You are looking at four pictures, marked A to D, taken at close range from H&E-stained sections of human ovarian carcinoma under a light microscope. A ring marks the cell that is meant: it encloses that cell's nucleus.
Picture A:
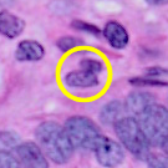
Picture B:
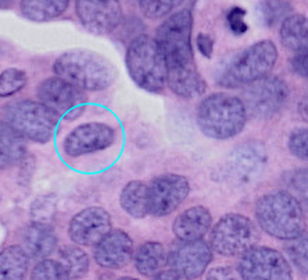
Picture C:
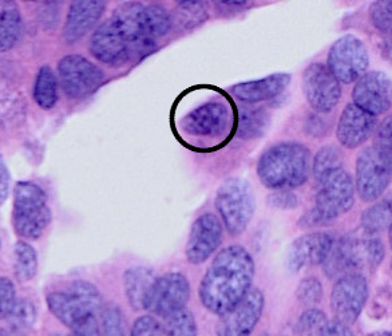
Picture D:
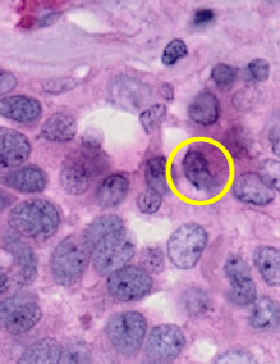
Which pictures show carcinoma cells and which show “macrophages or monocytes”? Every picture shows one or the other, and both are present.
A: macrophage or monocyte
B: macrophage or monocyte
C: carcinoma cell
D: macrophage or monocyte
